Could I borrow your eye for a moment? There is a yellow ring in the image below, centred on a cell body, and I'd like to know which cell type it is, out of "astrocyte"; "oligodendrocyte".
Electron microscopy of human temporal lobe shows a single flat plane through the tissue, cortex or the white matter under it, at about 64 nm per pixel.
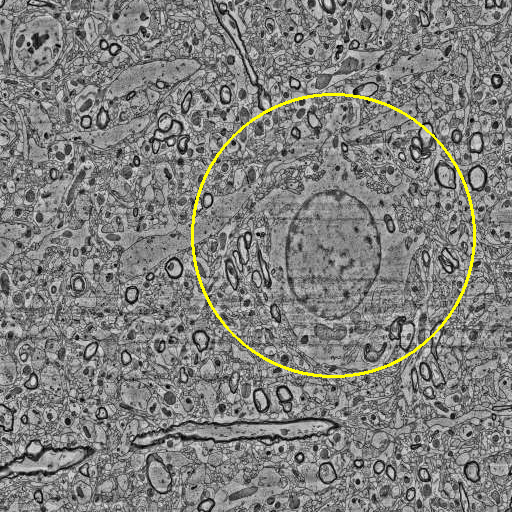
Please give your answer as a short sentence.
The cell body at the centre is that of an astrocyte.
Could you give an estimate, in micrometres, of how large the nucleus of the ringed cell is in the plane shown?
Roughly 8 by 6 micrometres is the size of the nucleus in this plane.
